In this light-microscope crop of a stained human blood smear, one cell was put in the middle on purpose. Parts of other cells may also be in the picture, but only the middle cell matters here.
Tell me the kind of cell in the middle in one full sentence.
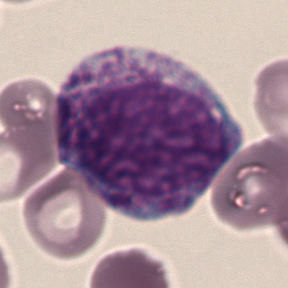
Whatever else lies nearby, the middle cell is an atypical promyelocyte.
